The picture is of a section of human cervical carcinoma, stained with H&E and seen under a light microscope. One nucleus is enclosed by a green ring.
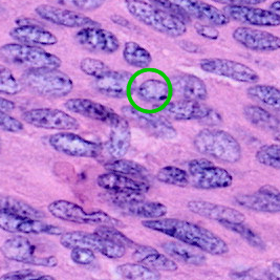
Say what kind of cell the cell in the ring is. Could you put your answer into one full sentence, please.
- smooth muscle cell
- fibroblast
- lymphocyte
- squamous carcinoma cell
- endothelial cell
The expected answer is simply that the cell in the ring is a squamous carcinoma cell.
